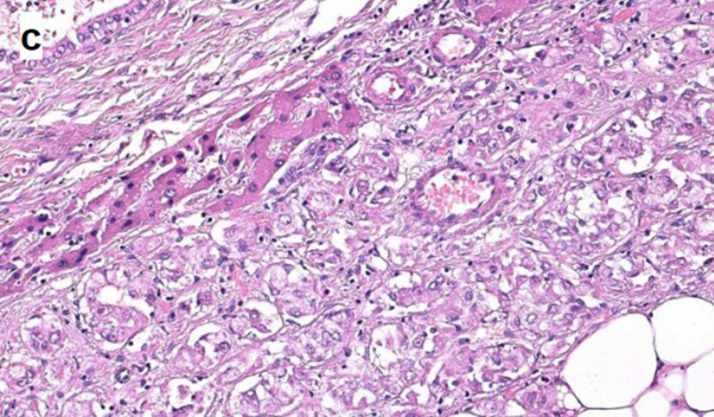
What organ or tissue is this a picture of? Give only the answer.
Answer: hepatocyte plates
